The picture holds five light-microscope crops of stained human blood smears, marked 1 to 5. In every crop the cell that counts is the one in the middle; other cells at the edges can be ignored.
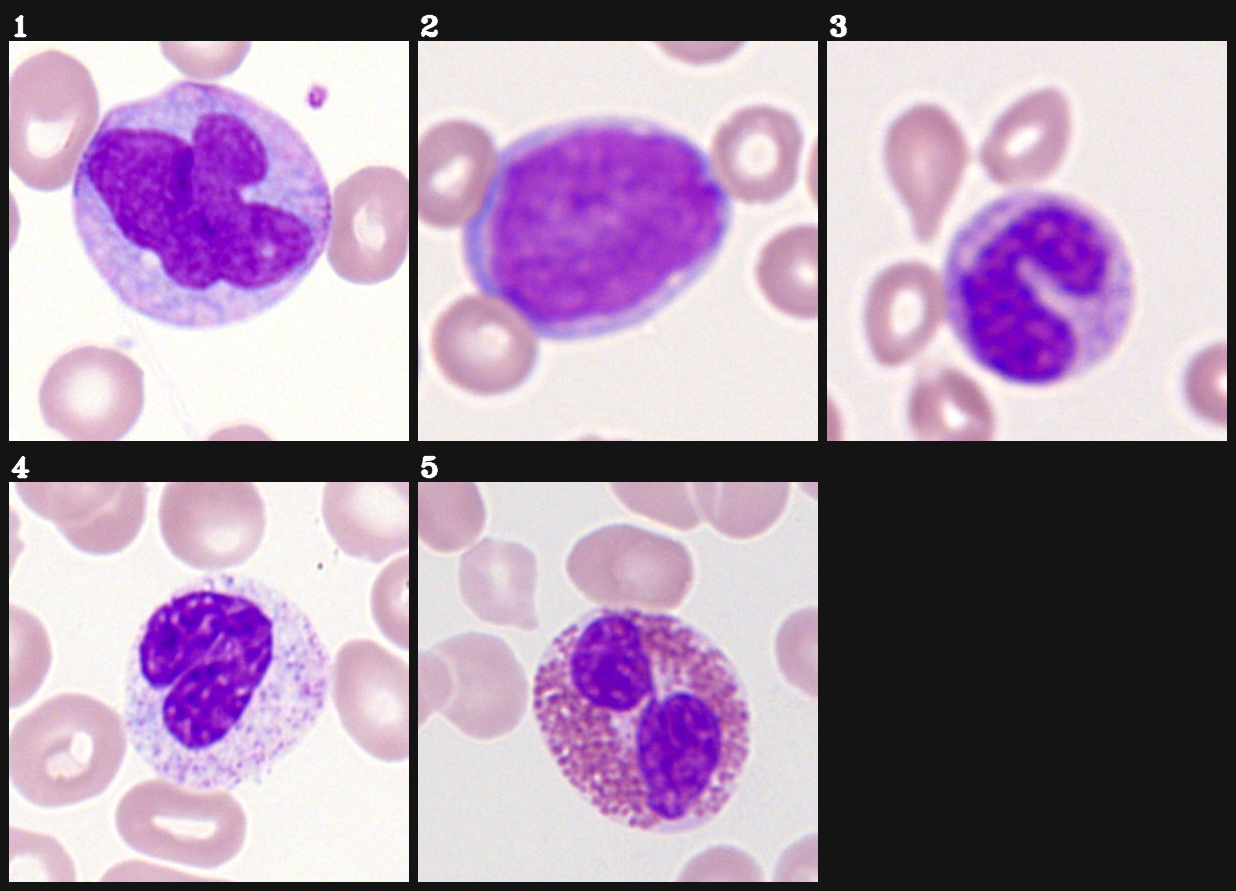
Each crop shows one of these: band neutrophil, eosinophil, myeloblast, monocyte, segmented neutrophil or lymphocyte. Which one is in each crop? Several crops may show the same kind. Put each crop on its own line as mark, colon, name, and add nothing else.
1: monocyte
2: myeloblast
3: band neutrophil
4: band neutrophil
5: eosinophil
